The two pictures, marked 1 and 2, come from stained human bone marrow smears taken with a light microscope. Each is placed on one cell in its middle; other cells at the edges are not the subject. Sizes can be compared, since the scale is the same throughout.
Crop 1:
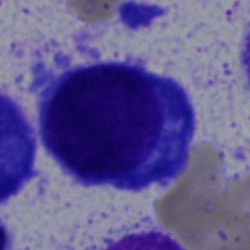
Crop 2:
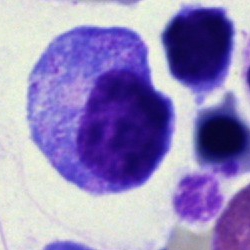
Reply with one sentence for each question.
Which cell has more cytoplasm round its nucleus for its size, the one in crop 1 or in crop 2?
In crop 2 the nucleus takes up the smaller part of its cell.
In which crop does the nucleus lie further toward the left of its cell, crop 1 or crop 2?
In crop 1 the nucleus is shifted more toward the left.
